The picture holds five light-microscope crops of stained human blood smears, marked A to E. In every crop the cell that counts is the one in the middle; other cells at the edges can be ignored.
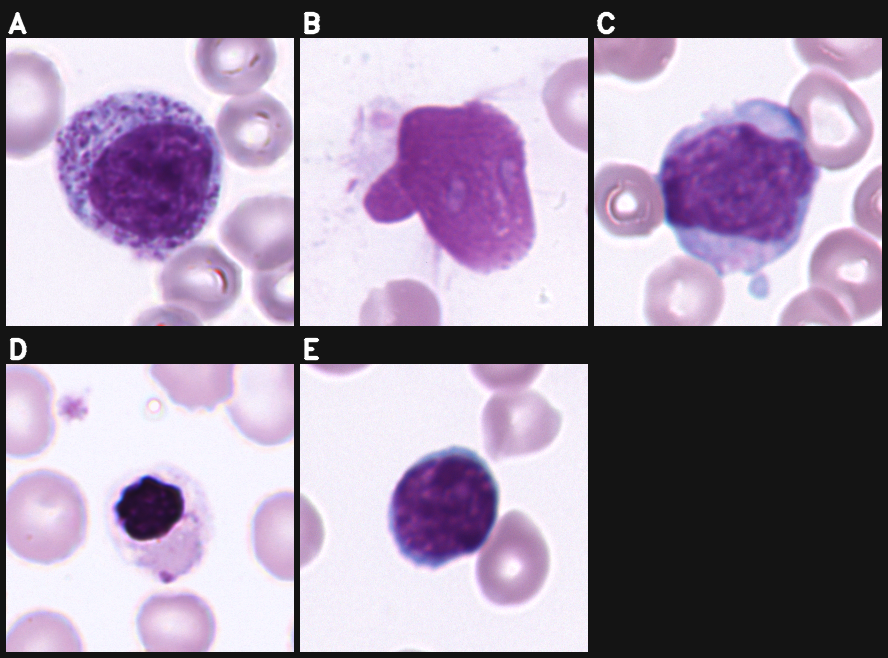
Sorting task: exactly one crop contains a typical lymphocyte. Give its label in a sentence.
The crop that has a typical lymphocyte in the middle is crop E.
